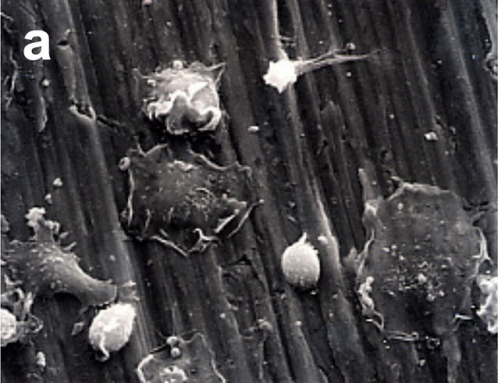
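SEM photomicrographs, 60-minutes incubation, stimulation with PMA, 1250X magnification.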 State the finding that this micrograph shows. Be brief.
flattening of cells and cell membrane spreading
